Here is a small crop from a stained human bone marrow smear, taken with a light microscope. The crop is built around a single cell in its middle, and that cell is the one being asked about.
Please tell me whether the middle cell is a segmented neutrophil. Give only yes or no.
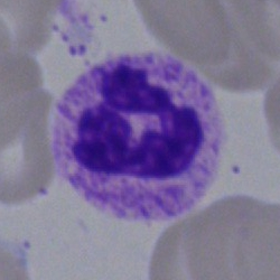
yes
